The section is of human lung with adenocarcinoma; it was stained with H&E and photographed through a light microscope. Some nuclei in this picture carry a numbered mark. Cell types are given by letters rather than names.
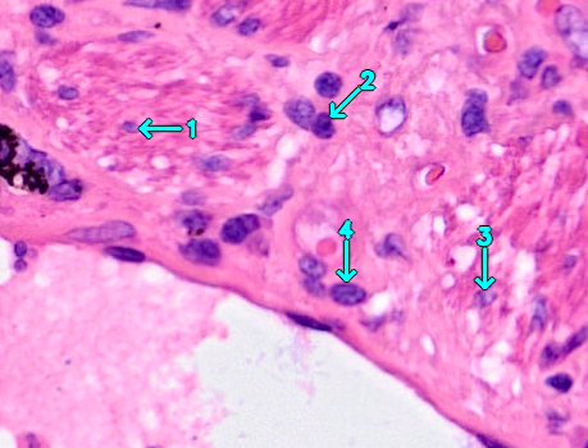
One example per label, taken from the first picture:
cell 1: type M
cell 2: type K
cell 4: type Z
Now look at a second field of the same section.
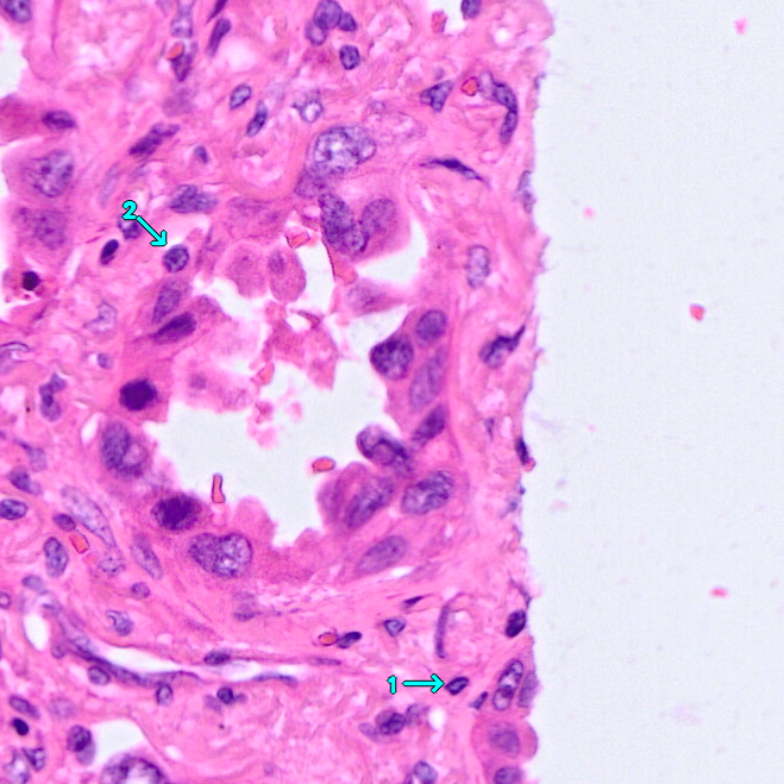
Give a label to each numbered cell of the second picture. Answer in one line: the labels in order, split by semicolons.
type Z; type K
